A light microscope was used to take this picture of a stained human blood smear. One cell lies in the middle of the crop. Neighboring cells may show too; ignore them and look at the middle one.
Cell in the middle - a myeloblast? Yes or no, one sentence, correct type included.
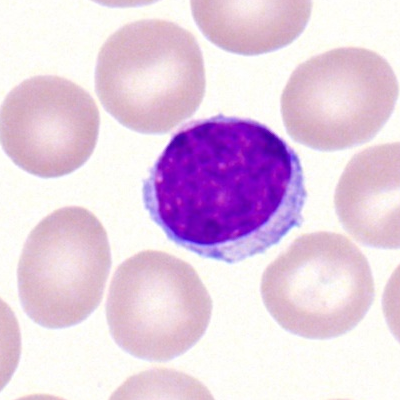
No, this is not a myeloblast at all; the cell in the middle is a lymphocyte.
